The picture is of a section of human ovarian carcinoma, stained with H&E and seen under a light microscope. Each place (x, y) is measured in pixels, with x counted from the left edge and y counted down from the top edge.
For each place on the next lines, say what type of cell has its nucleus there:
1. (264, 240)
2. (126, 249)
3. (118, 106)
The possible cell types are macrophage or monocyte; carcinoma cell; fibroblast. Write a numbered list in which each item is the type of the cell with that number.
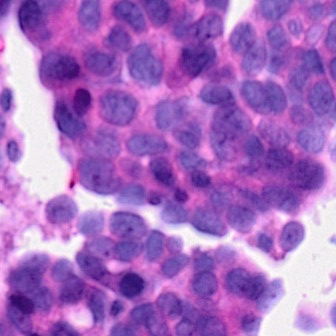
1. macrophage or monocyte
2. carcinoma cell
3. carcinoma cell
